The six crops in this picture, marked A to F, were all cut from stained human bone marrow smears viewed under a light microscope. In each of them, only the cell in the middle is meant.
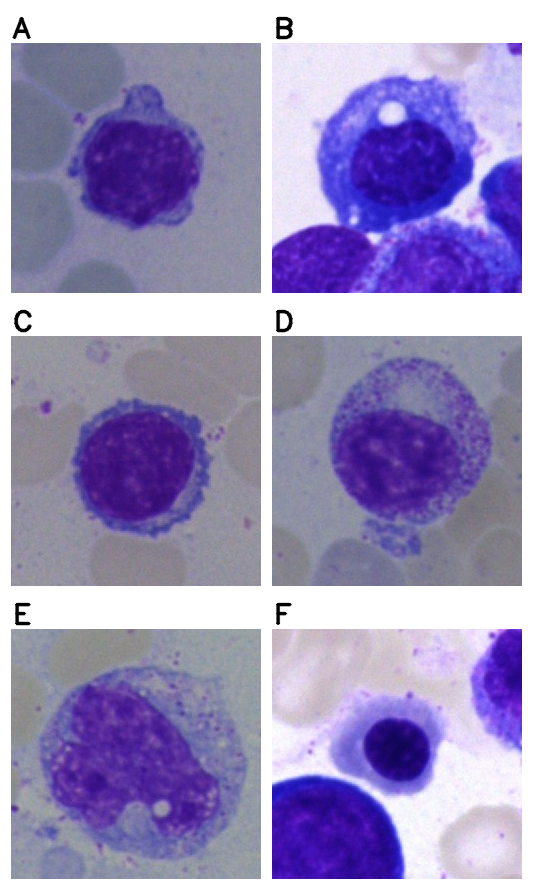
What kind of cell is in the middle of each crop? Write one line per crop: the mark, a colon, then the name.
A: lymphocyte
B: plasma cell
C: lymphocyte
D: myelocyte
E: monocyte
F: erythroblast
